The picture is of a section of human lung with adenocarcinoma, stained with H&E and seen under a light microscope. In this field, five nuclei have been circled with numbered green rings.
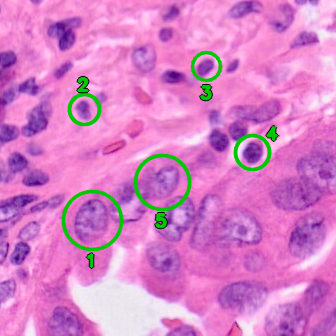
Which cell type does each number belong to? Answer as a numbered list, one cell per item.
1. carcinoma cell
2. lymphocyte
3. lymphocyte
4. lymphocyte
5. carcinoma cell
